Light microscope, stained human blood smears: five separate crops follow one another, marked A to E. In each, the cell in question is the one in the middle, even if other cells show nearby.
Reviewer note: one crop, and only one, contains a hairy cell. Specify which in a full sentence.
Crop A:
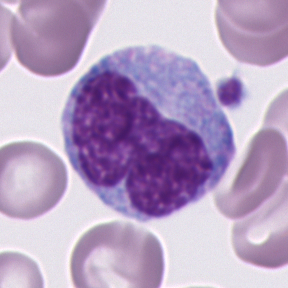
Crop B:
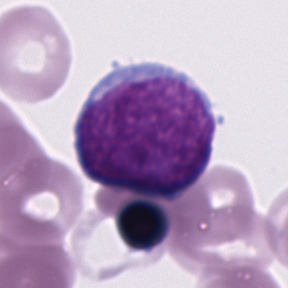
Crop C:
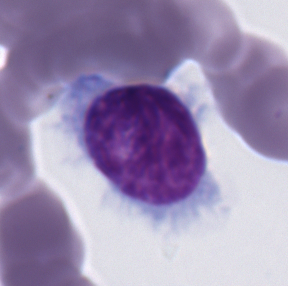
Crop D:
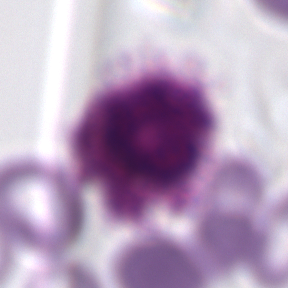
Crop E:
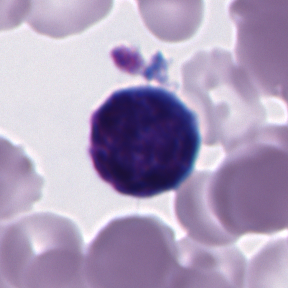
Within this set, crop C is the one with a hairy cell at its center.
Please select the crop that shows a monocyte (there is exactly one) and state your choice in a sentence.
Crop A is the correct crop, and it shows a monocyte.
